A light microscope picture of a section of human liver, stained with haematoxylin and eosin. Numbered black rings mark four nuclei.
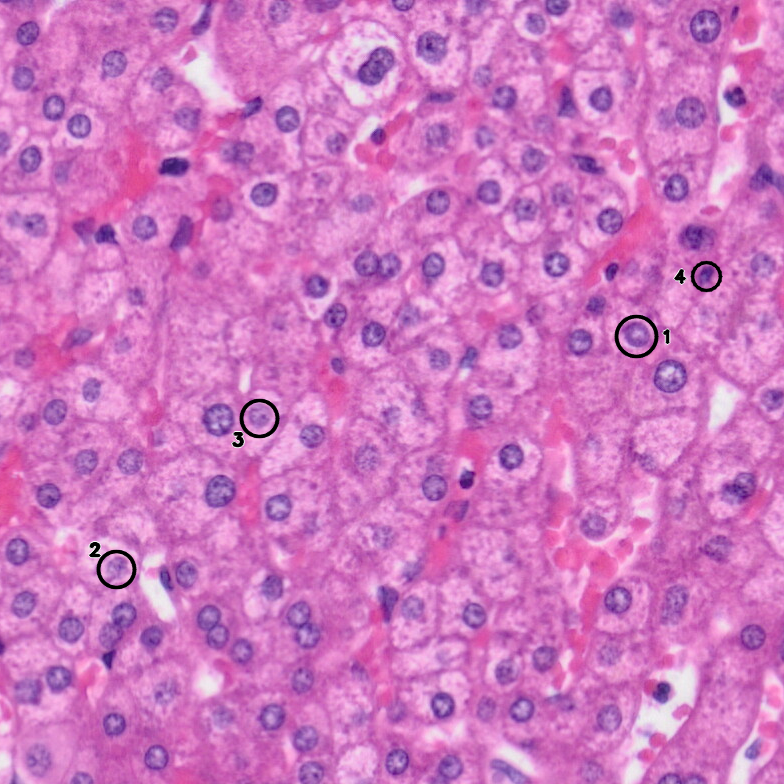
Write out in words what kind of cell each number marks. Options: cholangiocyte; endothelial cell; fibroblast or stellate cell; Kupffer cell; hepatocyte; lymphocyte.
Cells 1, 2 and 3 are hepatocytes. Cell 4 is a fibroblast or stellate cell.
